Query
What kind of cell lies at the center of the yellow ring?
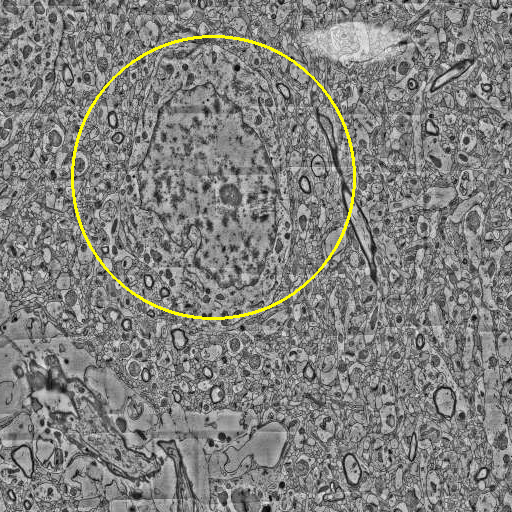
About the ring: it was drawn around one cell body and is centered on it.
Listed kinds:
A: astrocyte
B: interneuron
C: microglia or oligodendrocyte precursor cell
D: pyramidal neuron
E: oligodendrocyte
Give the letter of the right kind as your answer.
B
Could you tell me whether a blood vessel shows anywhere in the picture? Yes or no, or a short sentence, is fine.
Yes, a blood vessel can be seen.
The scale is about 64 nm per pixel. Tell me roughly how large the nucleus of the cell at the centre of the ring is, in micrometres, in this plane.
Clearly longer than it is wide in this plane, the nucleus measures roughly 13 by 9 micrometres.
